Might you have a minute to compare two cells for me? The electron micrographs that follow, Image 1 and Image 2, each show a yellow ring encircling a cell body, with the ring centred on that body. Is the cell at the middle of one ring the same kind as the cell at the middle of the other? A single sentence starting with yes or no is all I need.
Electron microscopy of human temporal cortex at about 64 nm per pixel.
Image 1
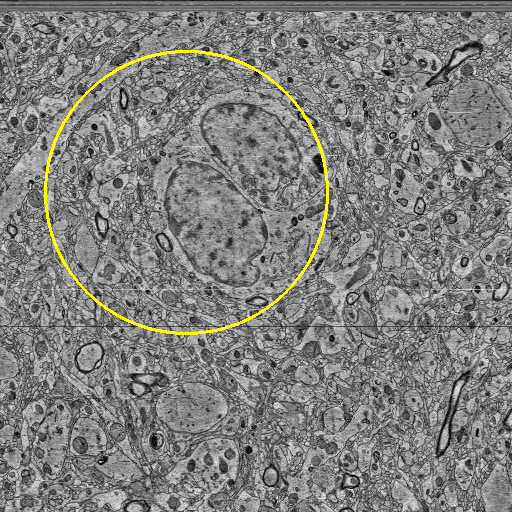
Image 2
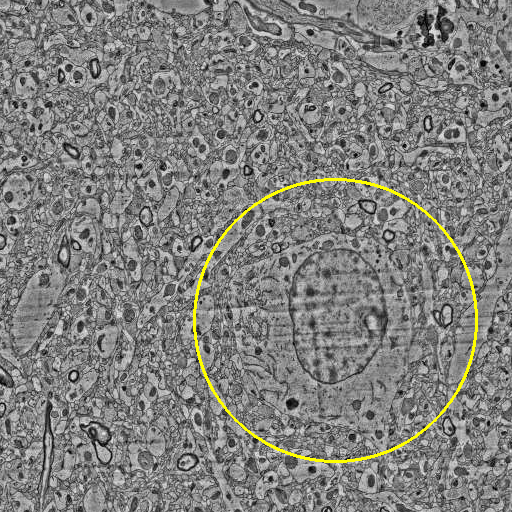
No, the cells in the middle of the two rings are of two separate kinds.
